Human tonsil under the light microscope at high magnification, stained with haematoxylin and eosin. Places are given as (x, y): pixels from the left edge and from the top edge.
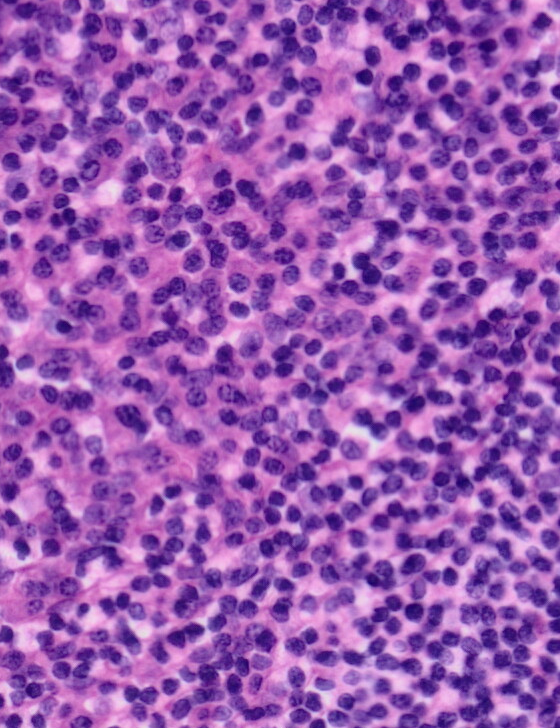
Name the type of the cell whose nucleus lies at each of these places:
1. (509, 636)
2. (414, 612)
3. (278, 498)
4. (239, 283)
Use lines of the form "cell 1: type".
cell 1: small lymphocyte
cell 2: small lymphocyte
cell 3: small lymphocyte
cell 4: plasma cell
